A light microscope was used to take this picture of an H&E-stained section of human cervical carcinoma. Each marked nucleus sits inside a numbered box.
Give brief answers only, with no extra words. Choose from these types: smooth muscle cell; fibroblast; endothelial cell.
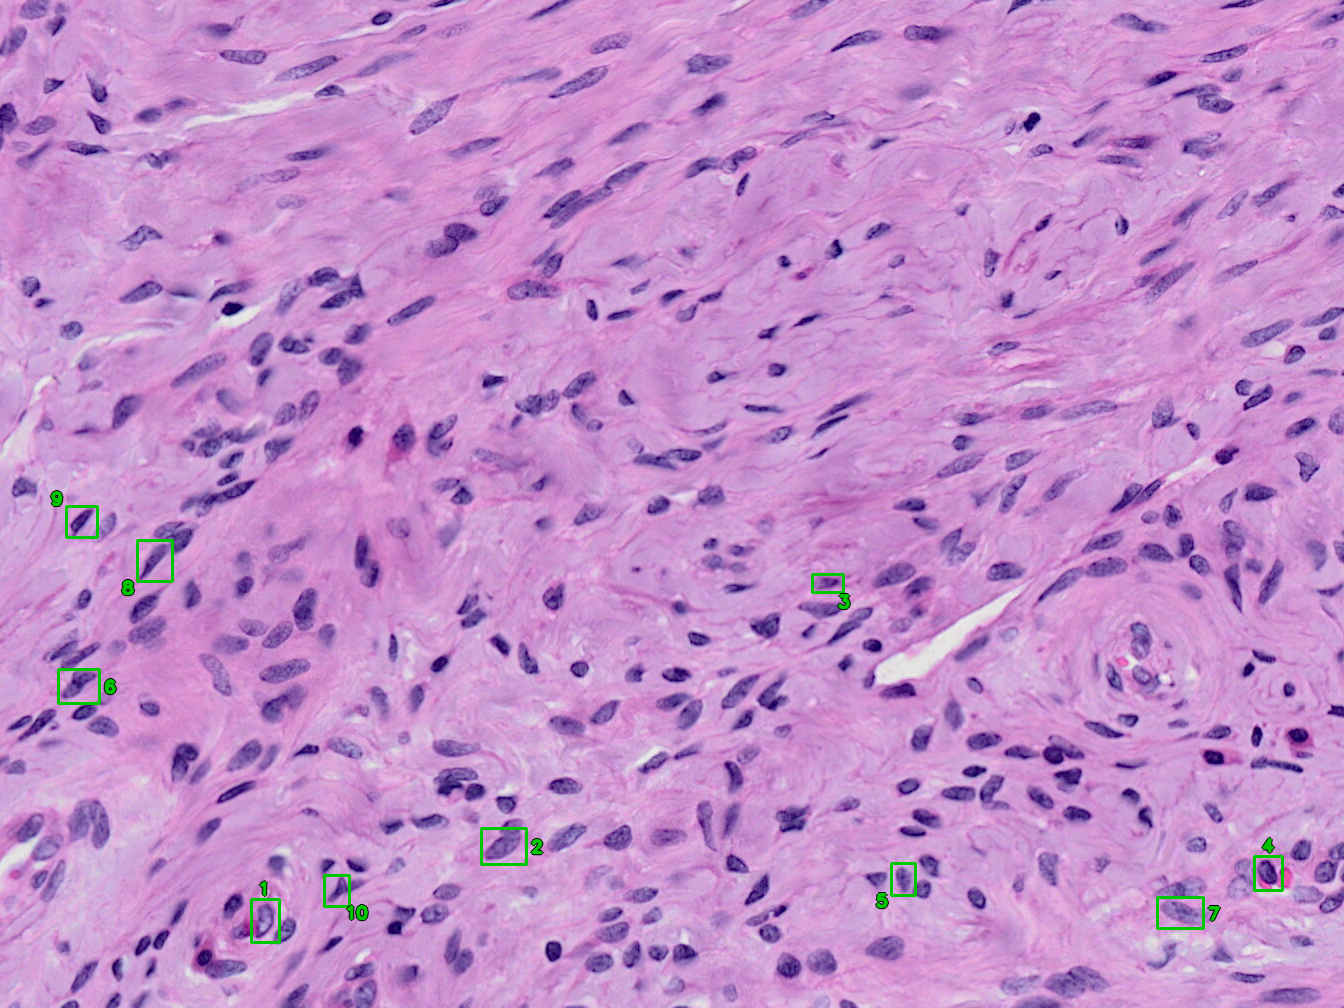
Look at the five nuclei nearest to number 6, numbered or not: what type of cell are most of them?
fibroblast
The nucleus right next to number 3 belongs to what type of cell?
fibroblast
